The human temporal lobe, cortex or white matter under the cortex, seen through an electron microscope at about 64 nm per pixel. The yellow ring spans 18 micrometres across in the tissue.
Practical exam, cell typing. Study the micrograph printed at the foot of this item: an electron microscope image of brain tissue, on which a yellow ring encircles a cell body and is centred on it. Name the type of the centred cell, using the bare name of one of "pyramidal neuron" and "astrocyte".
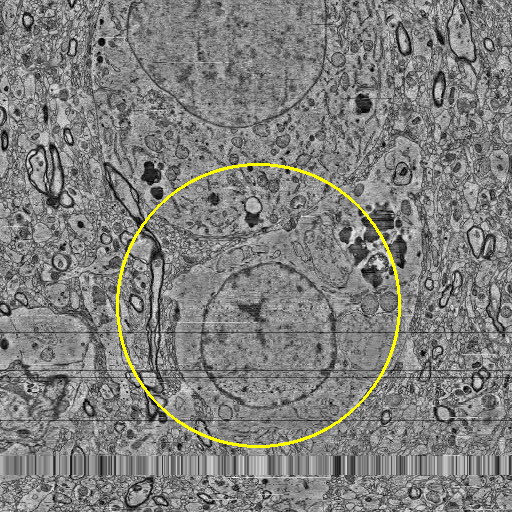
astrocyte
